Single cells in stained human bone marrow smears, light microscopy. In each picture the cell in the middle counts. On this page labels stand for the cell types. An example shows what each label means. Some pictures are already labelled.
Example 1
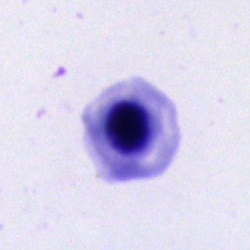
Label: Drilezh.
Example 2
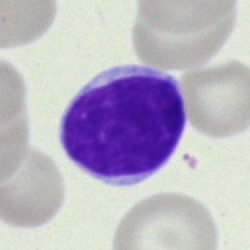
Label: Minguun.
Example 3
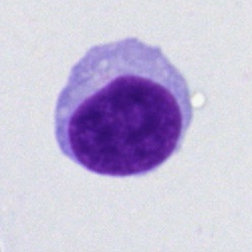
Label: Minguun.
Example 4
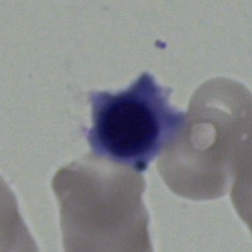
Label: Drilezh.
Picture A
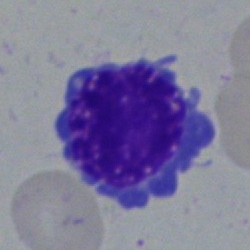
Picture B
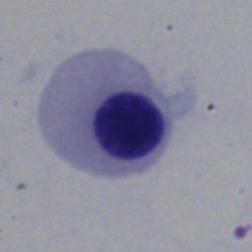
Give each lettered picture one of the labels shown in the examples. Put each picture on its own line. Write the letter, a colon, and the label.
A: Drilezh.
B: Drilezh.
